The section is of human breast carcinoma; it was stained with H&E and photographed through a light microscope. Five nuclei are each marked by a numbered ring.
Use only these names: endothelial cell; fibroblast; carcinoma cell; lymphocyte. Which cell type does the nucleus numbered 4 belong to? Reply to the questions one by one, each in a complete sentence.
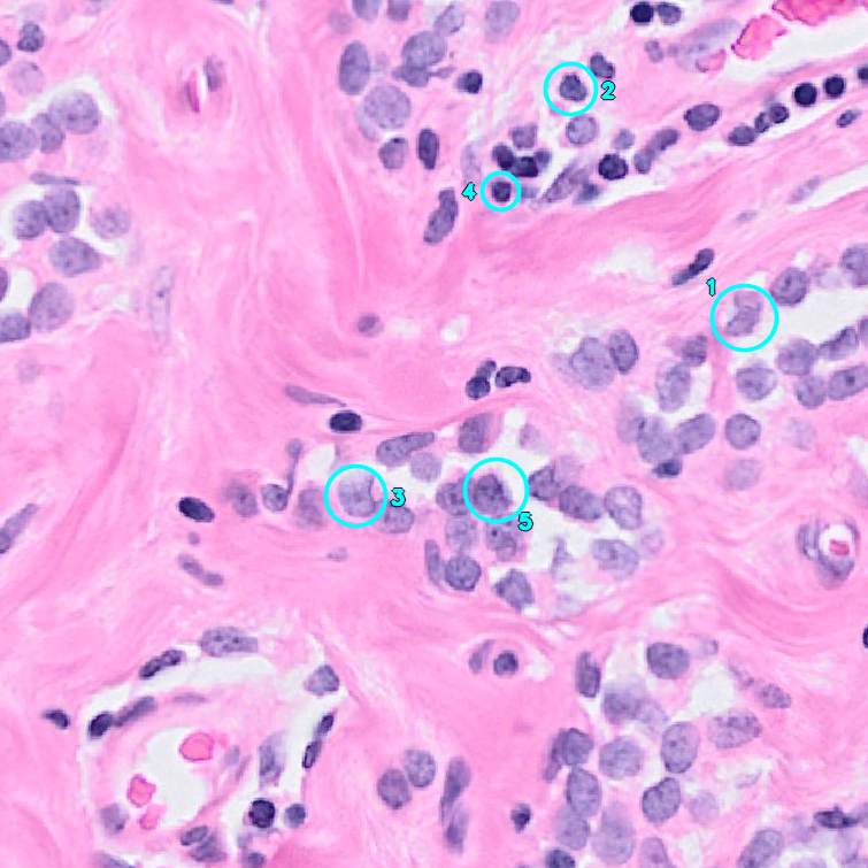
The marked cell with the number 4 is recognised as a lymphocyte.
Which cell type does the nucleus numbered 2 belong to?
The numbered cell 2 is identified here as a lymphocyte.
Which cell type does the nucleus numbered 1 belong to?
Marked with the number 1, this cell is a carcinoma cell.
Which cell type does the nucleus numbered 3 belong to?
In the tissue shown, cell 3 is a carcinoma cell.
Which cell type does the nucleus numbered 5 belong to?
The cell identified by the number 5 is a carcinoma cell.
